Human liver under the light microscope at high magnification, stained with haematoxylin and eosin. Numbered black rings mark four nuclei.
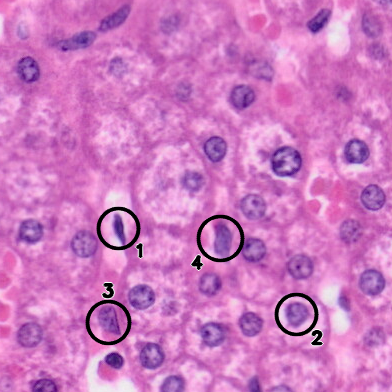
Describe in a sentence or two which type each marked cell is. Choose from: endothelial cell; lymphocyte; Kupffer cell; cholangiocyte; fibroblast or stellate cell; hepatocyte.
Cell 1 is a lymphocyte, cell 2 is a hepatocyte, cell 3 is an endothelial cell and cell 4 is a Kupffer cell.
